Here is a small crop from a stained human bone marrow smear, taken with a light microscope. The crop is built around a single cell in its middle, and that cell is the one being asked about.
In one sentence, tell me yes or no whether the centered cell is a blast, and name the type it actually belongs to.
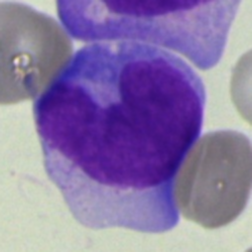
Yes, as regards the cell in the middle, it is a blast.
